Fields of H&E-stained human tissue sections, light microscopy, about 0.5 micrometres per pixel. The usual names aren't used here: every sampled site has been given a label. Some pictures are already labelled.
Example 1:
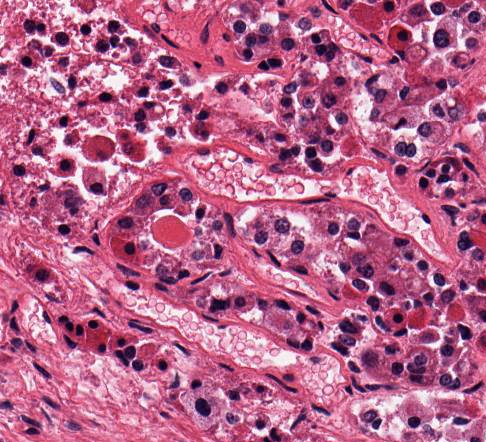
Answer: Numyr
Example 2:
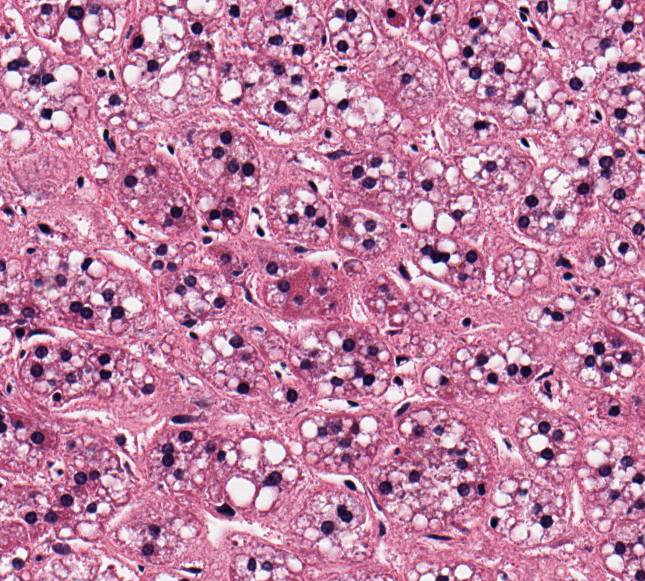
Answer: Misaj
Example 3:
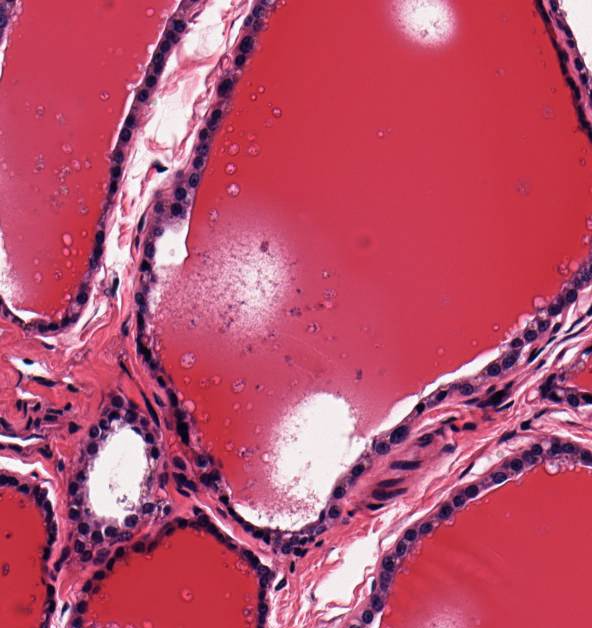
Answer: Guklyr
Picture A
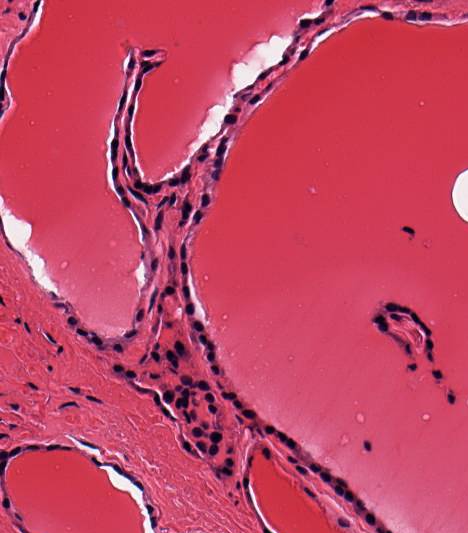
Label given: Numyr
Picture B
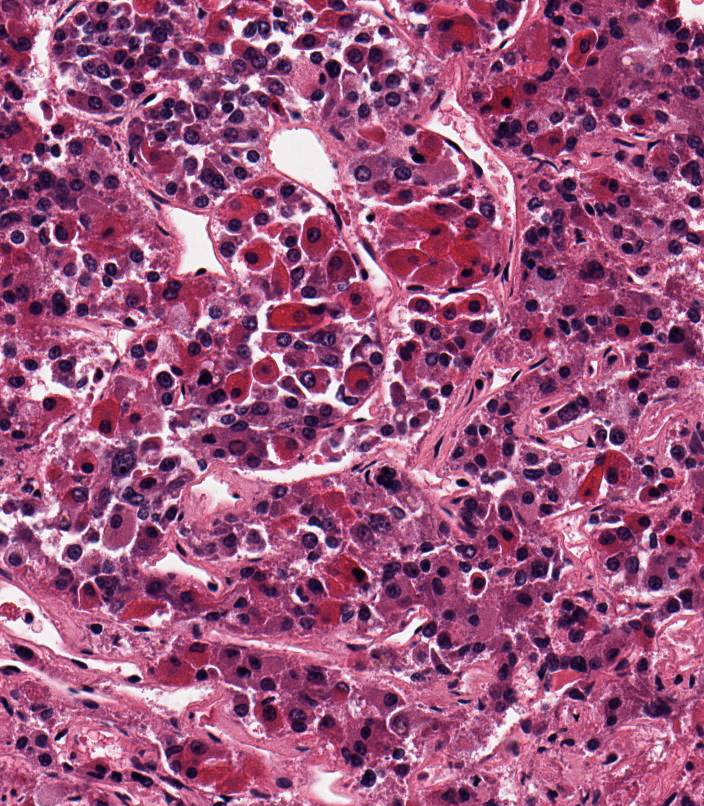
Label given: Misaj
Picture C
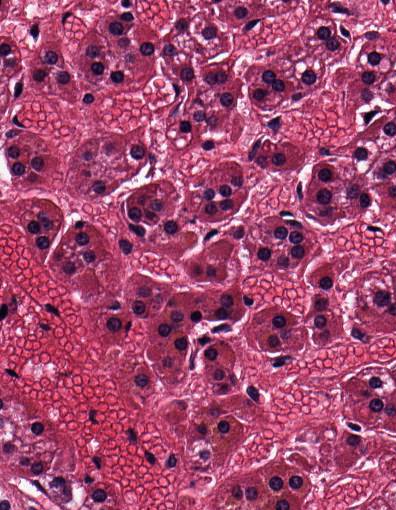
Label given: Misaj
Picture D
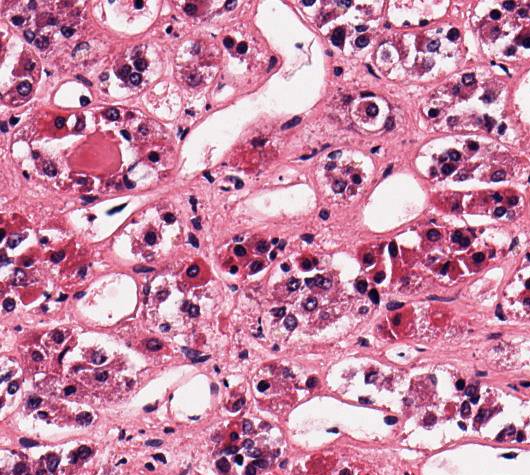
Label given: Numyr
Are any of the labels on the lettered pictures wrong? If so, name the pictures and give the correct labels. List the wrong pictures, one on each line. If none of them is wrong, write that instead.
A is labelled Numyr; correct label: Guklyr
B is labelled Misaj; correct label: Numyr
